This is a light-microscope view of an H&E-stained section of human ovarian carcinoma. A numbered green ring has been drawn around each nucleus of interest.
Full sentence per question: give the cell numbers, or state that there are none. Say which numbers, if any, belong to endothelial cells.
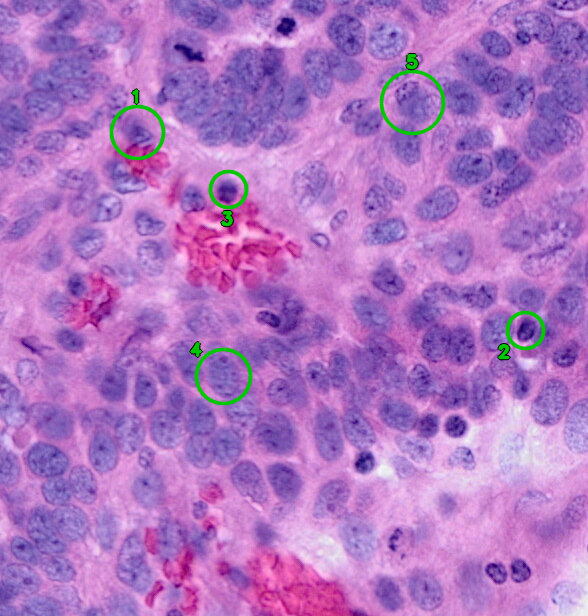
Among the numbered cells, the one that is an endothelial cell is cell 1 alone.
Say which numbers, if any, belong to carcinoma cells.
Classified as carcinoma cells are the cells numbered 4 and 5.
